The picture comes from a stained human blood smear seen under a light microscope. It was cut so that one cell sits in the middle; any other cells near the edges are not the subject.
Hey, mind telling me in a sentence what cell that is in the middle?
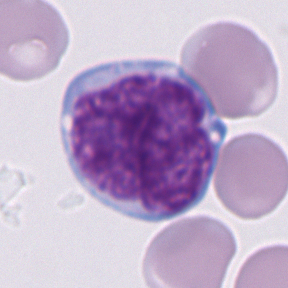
Whatever else lies nearby, the middle cell is a myeloblast.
